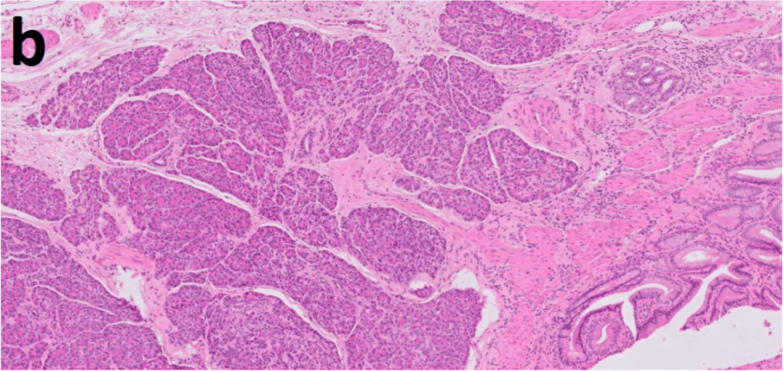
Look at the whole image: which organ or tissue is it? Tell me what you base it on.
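Pancreatic acini. Lobules of densely packed, purple-staining glandular cells separated by thin pink fibrous septa. Lobules lie in a wall with pink smooth muscle bundles, with columnar-lined glands at the right edge.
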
